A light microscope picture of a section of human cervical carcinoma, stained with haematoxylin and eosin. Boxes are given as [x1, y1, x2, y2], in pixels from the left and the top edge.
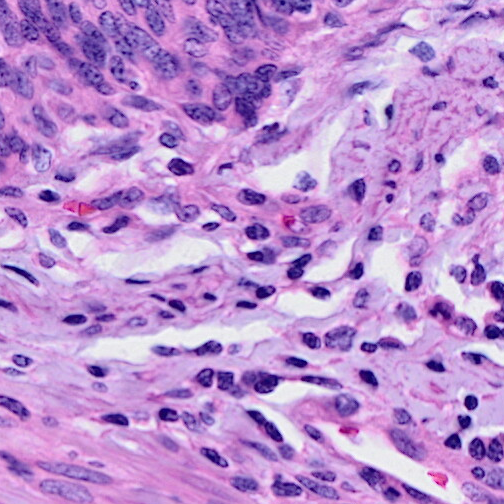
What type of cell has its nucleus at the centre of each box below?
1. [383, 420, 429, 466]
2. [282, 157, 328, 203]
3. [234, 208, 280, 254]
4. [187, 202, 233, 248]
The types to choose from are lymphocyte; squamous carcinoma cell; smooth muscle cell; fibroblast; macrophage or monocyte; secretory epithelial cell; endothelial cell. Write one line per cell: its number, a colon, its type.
1: endothelial cell
2: lymphocyte
3: lymphocyte
4: lymphocyte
